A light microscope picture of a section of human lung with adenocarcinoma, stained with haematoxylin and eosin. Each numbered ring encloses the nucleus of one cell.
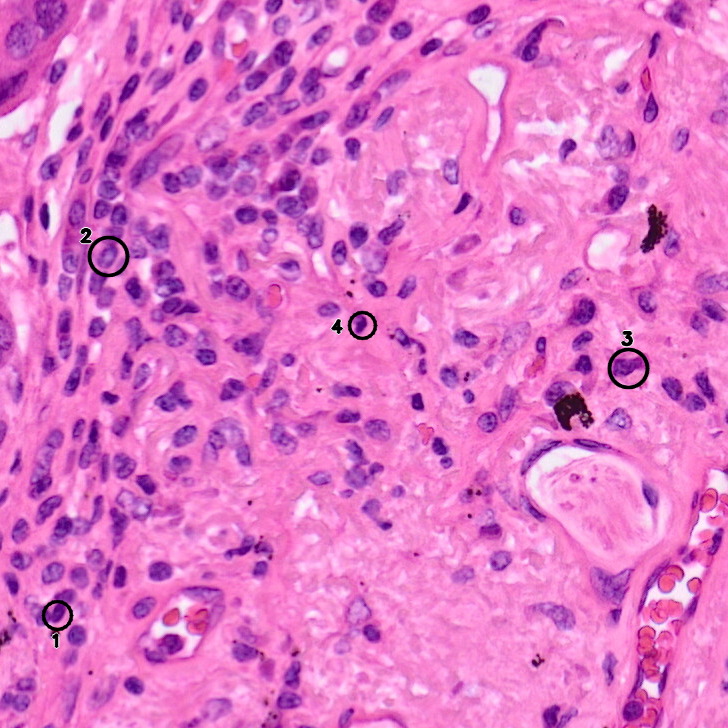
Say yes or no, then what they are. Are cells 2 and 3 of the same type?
No, cell 2 is a lymphocyte and cell 3 is a plasma cell.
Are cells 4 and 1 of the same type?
Yes, both are lymphocytes.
